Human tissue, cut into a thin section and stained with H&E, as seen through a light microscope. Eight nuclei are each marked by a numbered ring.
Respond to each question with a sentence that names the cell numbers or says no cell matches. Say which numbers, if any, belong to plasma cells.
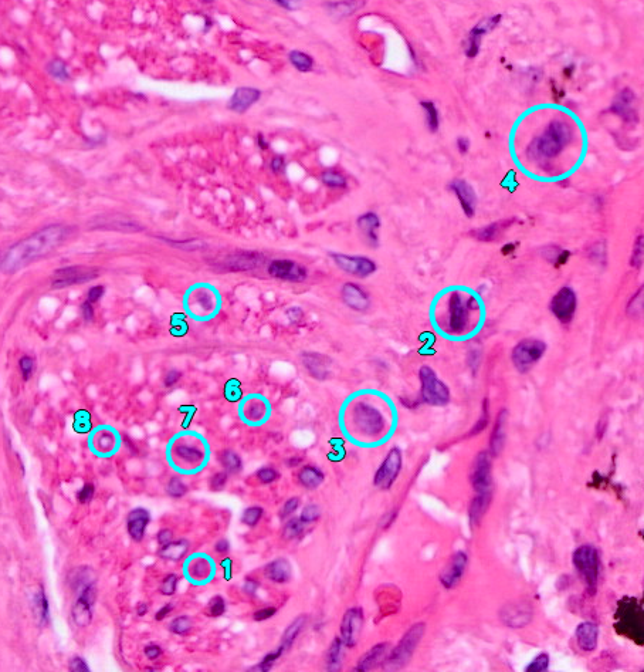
So, the cells with numbers 2 and 4 are plasma cells.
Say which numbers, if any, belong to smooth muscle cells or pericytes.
The cells to which the numbers 1, 5, 6, 7 and 8 refer are smooth muscle cells or pericytes.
